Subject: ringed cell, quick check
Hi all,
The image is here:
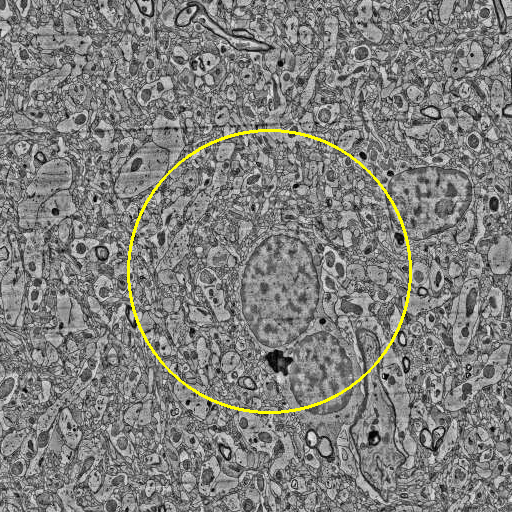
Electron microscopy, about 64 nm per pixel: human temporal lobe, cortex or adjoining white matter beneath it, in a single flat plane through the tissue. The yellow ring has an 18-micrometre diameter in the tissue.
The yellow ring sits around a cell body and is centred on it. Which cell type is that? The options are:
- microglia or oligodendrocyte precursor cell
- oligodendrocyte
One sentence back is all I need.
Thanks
That ringed cell is an oligodendrocyte.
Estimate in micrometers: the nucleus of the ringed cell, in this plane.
The nucleus appears roughly 7 by 5 micrometres in this plane.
